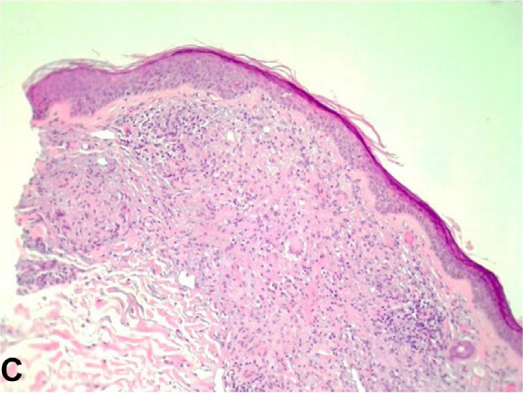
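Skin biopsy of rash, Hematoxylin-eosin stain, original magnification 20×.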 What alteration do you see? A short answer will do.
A: Nonnecrotic granuloma.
